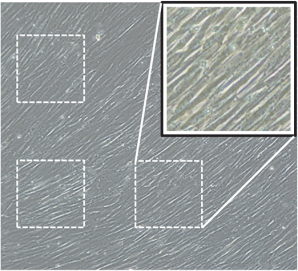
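The cells are long and spindle-shaped, with tapered ends, and lie side by side in parallel streams that sweep across the field in one direction. The cytoplasm appears smooth and even, without clear vacuoles. Few rounded or detached cells are seen, and the cells touch one another closely with no gaps in the sheet. The enlarged inset shows the same tightly packed, aligned elongated cells in more detail.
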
